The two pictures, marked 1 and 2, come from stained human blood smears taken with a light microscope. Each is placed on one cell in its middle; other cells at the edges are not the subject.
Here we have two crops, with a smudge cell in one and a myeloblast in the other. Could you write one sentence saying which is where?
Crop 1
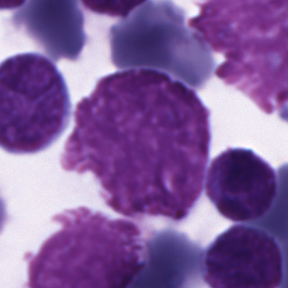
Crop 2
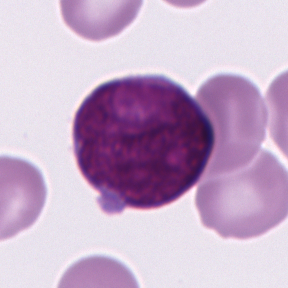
Crop 1 contains a smudge cell, and crop 2, a myeloblast.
